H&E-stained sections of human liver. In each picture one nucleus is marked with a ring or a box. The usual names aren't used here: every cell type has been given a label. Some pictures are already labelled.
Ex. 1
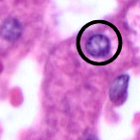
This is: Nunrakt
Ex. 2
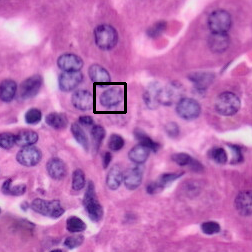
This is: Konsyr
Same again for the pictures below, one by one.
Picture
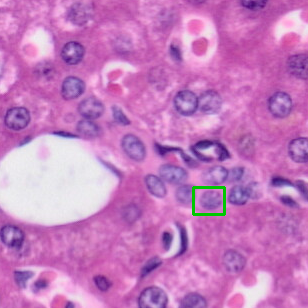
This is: Konsyr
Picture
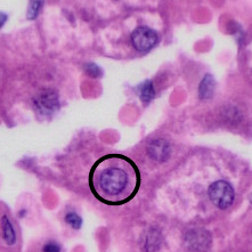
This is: Nunrakt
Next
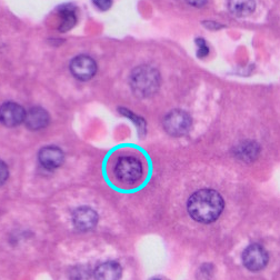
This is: Nunrakt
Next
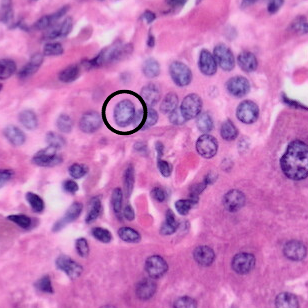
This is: Konsyr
